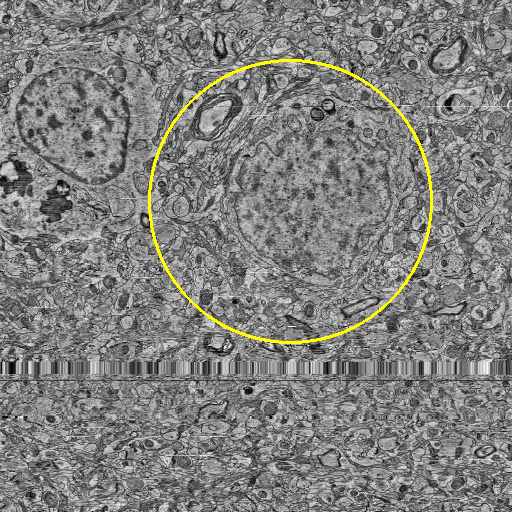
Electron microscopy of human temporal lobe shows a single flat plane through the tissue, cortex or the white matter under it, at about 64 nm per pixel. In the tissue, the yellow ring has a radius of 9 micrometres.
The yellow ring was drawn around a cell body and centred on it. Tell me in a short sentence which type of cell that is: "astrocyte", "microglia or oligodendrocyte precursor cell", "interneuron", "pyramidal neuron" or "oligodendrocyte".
The cell at the ring's centre is an interneuron.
